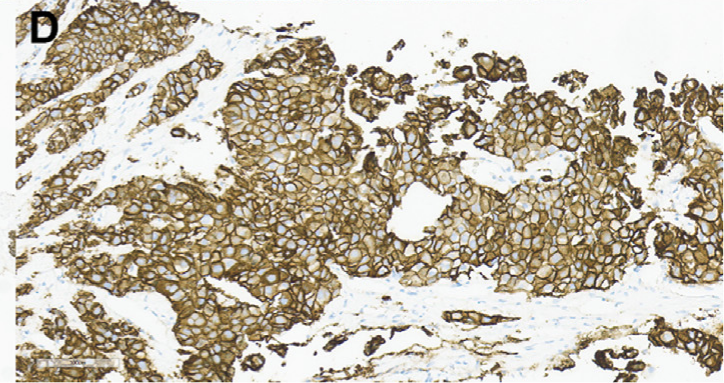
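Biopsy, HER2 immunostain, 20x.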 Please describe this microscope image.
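Nests and sheets of tumor cells in which brown stain draws a complete, strong line around the border of every cell, giving a chicken-wire pattern. The cell interiors and the blue nuclei stand paler inside these outlines, while the pale stroma between the nests is unstained.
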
